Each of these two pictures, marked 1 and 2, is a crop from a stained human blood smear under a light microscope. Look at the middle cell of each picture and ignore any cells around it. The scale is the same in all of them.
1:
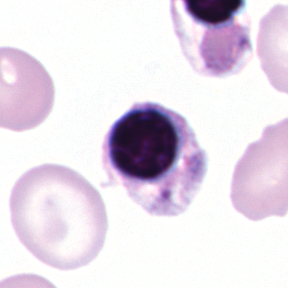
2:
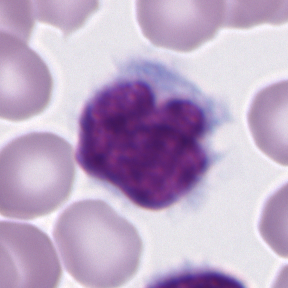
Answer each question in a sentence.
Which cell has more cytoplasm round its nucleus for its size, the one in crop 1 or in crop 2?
It is the cell in crop 1 that is filled less by its nucleus.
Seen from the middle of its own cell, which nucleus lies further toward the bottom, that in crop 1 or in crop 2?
It is the nucleus in crop 2 that lies further toward the bottom of its cell.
